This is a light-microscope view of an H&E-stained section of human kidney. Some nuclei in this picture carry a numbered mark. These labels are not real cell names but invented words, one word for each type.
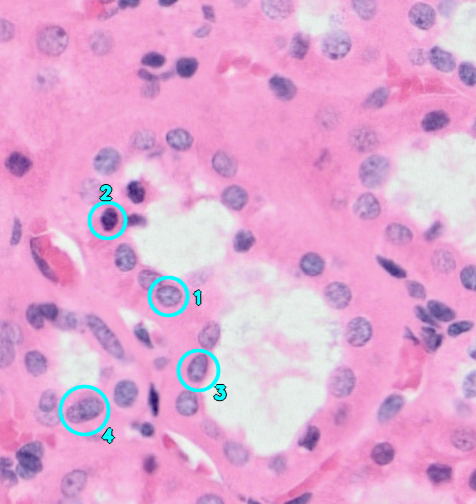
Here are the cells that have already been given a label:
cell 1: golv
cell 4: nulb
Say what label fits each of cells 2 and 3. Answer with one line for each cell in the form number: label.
2: golv
3: golv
